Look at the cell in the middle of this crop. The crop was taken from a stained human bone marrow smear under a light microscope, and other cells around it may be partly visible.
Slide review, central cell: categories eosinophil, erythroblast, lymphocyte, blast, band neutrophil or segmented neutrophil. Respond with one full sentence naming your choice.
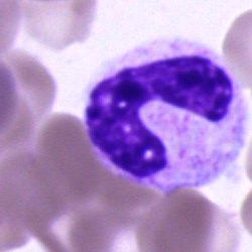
The centrally located cell in the crop is a band neutrophil.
